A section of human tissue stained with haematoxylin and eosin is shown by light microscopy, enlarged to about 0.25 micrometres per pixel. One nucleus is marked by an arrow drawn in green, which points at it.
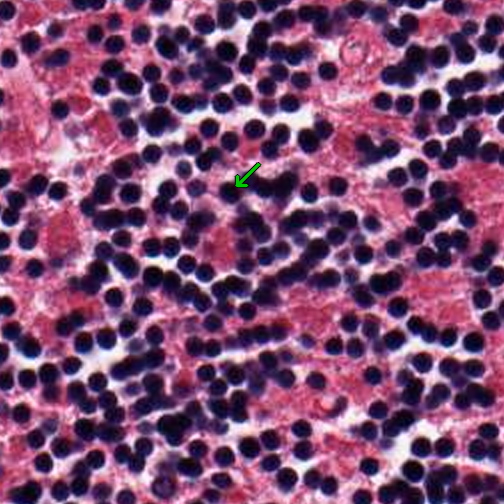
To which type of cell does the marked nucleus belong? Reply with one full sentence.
The mark indicates the nucleus of a cerebellar granule cell.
